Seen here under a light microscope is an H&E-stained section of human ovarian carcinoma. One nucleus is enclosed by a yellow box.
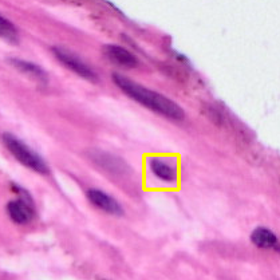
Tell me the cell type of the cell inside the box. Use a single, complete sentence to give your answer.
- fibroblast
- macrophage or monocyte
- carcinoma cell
Students should answer that the cell inside the box is a fibroblast.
